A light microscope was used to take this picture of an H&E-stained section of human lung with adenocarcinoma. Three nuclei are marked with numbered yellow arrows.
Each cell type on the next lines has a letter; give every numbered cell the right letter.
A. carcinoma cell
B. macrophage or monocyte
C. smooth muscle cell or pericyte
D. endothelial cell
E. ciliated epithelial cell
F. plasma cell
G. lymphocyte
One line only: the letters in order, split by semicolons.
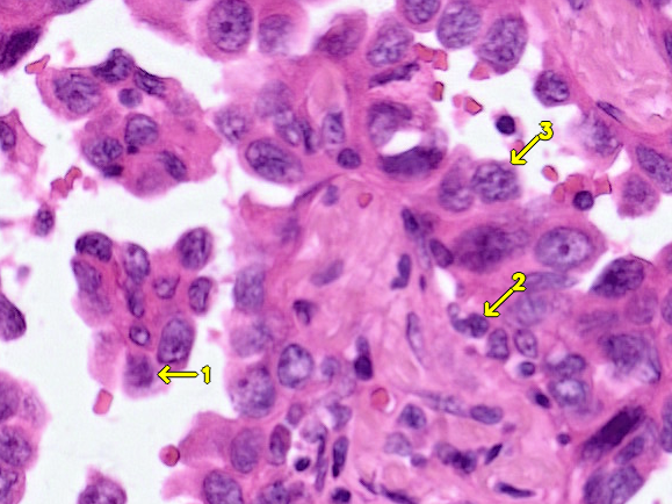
A; G; A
